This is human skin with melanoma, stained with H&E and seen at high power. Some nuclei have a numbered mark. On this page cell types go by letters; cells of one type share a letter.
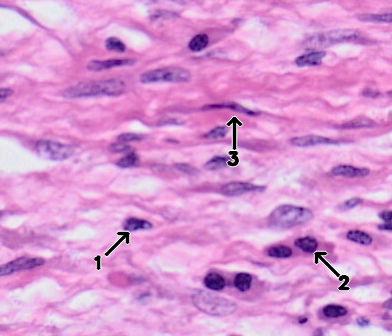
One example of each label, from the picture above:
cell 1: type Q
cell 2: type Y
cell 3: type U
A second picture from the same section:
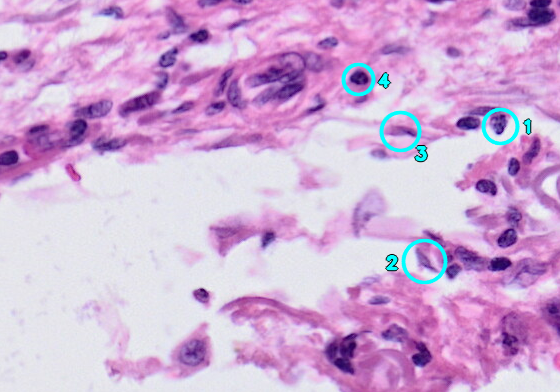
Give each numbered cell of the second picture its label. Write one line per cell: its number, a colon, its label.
1: type Q
2: type U
3: type U
4: type Y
